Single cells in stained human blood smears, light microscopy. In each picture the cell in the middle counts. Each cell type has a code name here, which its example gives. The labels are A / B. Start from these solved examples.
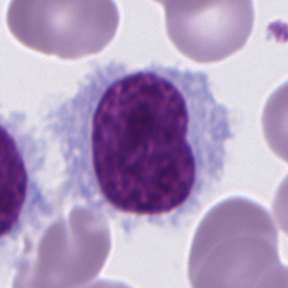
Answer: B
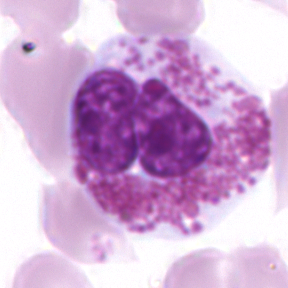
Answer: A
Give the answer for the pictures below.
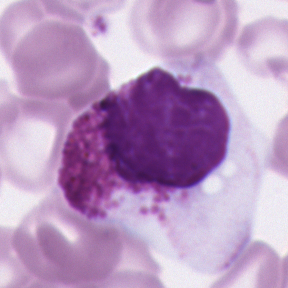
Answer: A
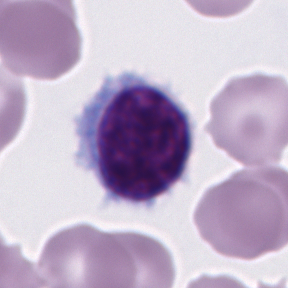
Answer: B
